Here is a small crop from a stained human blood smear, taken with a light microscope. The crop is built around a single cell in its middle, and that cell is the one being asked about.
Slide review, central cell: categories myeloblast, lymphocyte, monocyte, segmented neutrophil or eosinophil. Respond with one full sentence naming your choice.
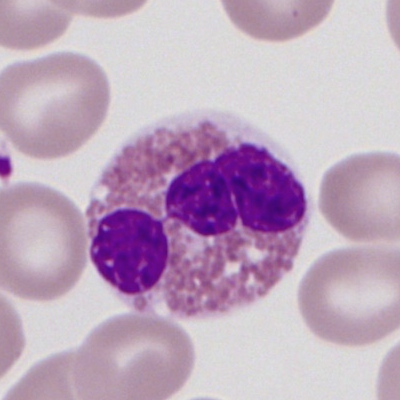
At the middle of the frame sits an eosinophil.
